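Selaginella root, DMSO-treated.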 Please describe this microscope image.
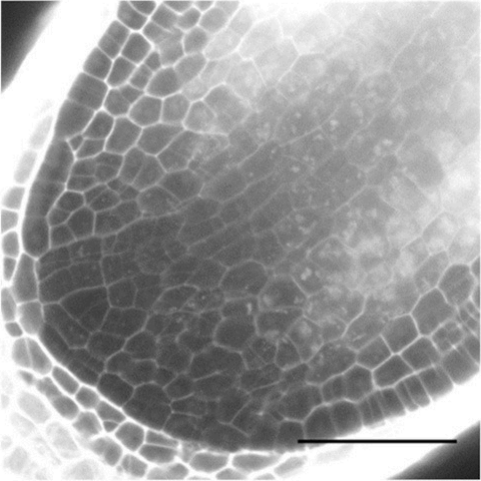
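This is the tip of a plant root, seen as a dense field of small, closely packed cells whose walls glow bright against darker cell interiors. The cells are mostly small and polygonal to roughly box-shaped, with thin walls and no large spaces between them. They lie in files that run along the root and converge toward the rounded apex at the lower left. Toward the upper right the field becomes hazier and brighter, so individual cell outlines are less distinct there.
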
